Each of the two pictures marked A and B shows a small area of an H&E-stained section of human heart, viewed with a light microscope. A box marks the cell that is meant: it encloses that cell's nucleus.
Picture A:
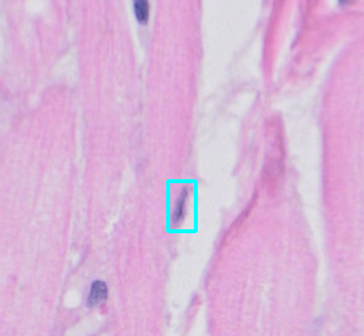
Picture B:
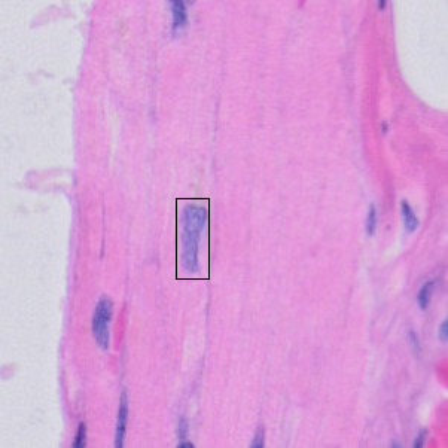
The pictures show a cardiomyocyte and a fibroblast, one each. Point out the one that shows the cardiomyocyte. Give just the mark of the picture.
B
